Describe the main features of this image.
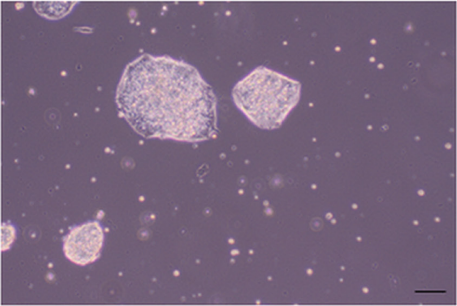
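Colonies of undifferentiated embryonal stem cells seen by phase contrast. Several separate colonies lie on the dish, two larger ones rounded to polygonal in outline and a smaller round one at the lower left. Each colony is compact and slightly raised, with a bright, sharply defined refractile rim. Inside, the cells are small and densely packed, so that single cell borders are barely made out and the colony looks finely granular. No flattened cells spread from the colony edges. The surrounding background is clear, scattered with small round bright bodies that are single loose cells or debris.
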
